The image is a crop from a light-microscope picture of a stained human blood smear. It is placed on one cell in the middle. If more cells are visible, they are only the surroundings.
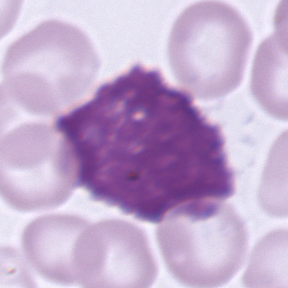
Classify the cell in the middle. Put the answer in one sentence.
The cell of interest, located centrally, is a smudge cell.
